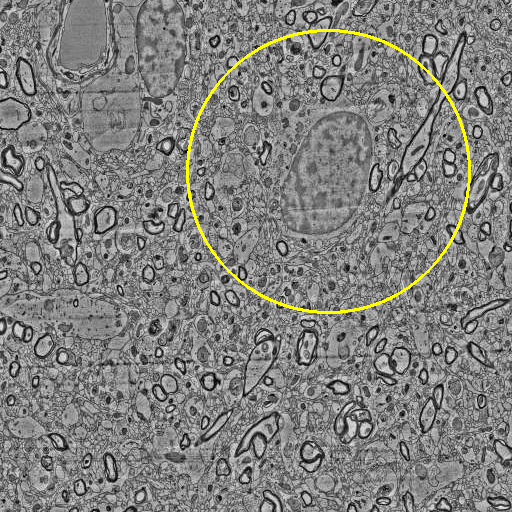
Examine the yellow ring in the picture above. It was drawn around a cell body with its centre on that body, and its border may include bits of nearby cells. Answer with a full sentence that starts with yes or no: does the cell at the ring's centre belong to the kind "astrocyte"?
No, the cell at the heart of the ring shown in the image is a different kind of cell.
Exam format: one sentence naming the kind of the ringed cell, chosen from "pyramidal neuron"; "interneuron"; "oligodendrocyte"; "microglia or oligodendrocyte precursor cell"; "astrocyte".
This picture has an oligodendrocyte at the centre of its ring.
